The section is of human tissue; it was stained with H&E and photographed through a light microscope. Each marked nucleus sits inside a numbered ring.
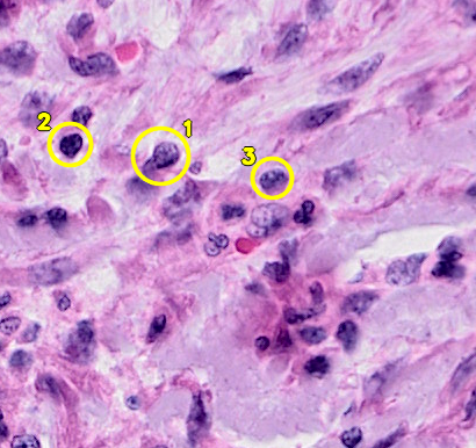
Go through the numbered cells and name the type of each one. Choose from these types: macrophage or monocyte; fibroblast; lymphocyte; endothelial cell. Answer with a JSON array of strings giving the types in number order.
["macrophage or monocyte", "lymphocyte", "lymphocyte"]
